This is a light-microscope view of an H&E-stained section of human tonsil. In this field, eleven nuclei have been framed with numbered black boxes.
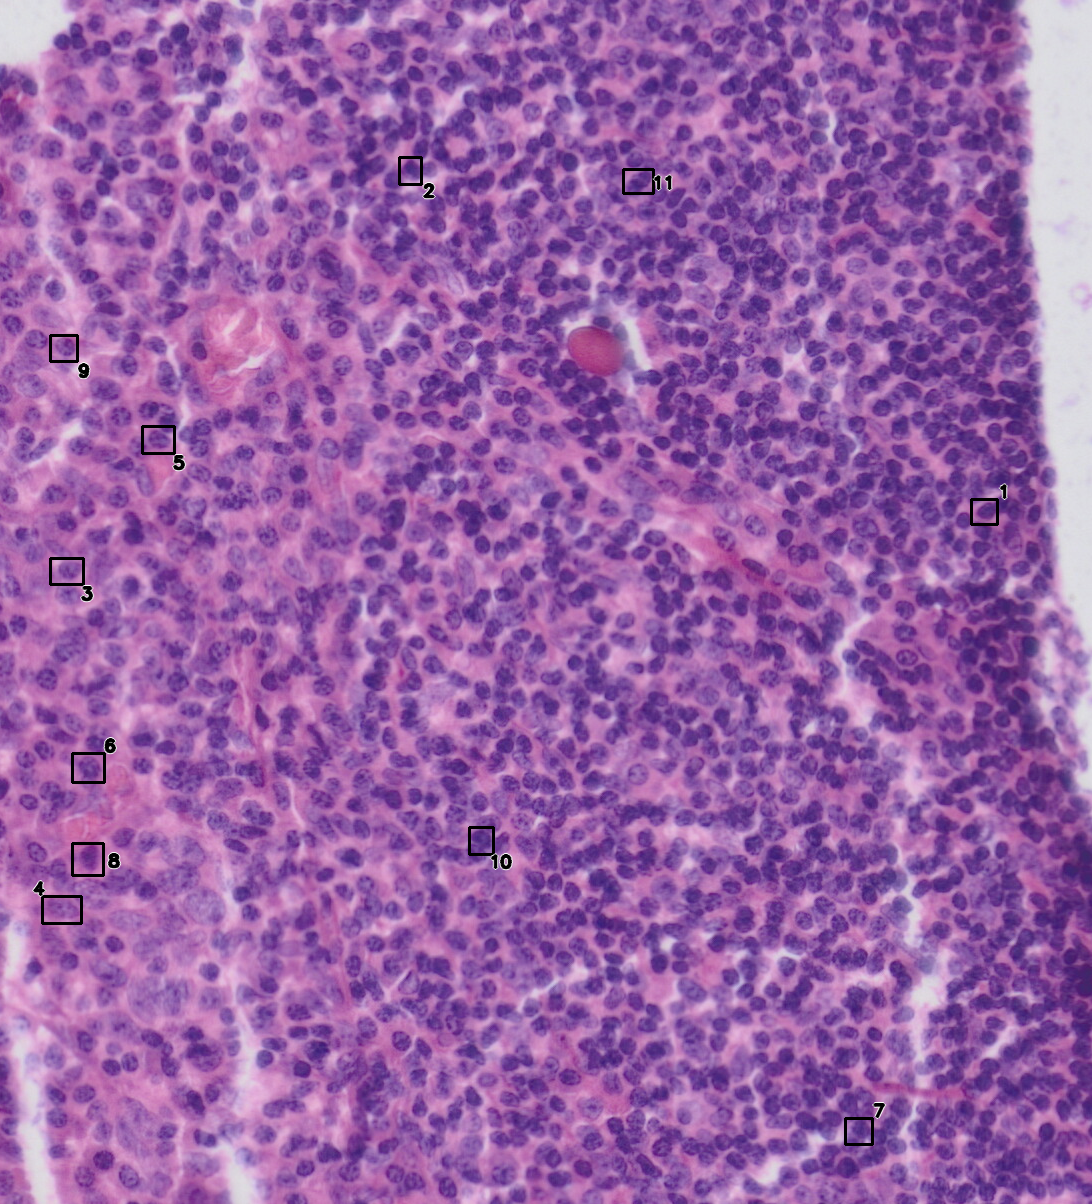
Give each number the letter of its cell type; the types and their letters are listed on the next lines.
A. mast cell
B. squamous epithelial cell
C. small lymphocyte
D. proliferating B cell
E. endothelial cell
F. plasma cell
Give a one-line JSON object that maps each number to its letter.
{"1": "C", "2": "C", "3": "B", "4": "B", "5": "F", "6": "F", "7": "C", "8": "B", "9": "F", "10": "C", "11": "C"}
